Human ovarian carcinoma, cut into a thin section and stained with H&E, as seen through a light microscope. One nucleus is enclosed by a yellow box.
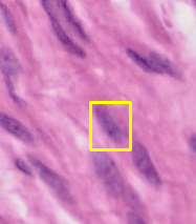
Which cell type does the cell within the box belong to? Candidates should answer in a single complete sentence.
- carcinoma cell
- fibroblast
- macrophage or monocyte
At the level of cell identity, the cell within the box is a fibroblast.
